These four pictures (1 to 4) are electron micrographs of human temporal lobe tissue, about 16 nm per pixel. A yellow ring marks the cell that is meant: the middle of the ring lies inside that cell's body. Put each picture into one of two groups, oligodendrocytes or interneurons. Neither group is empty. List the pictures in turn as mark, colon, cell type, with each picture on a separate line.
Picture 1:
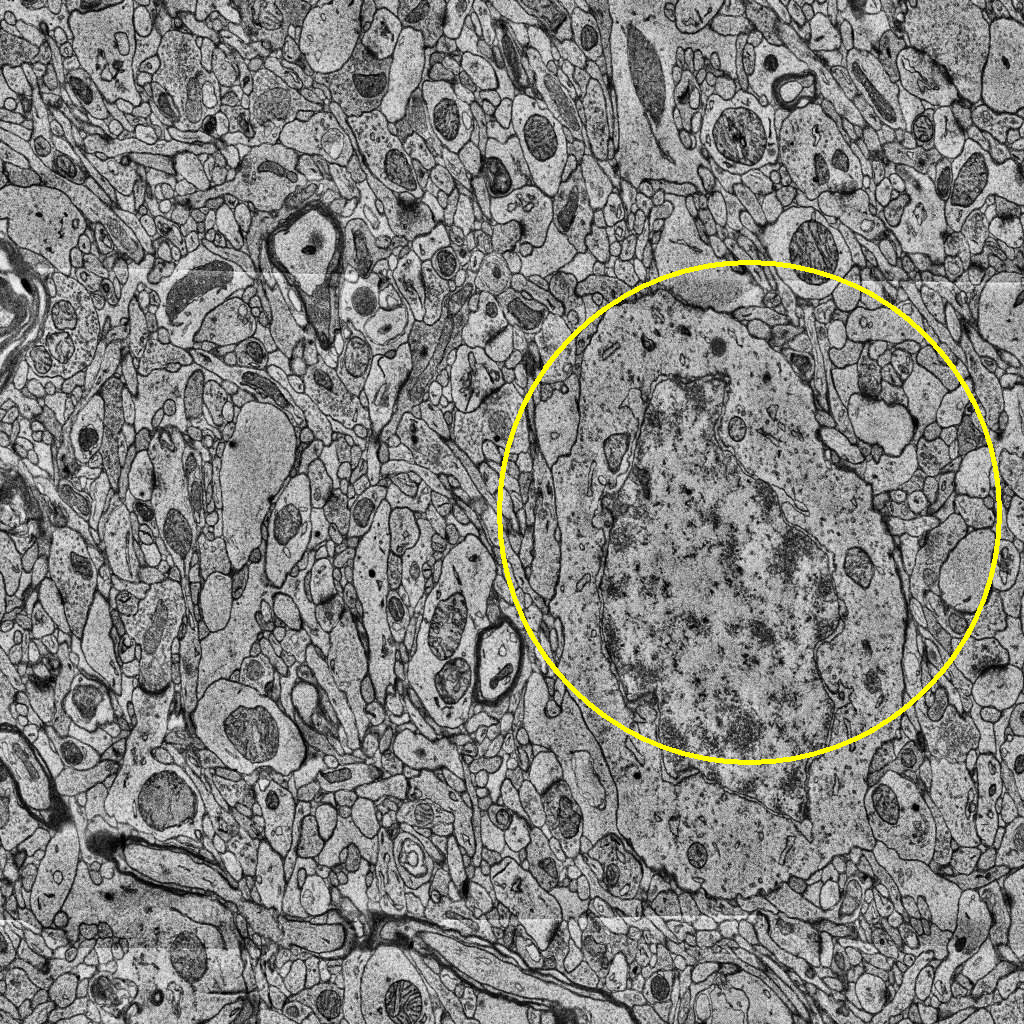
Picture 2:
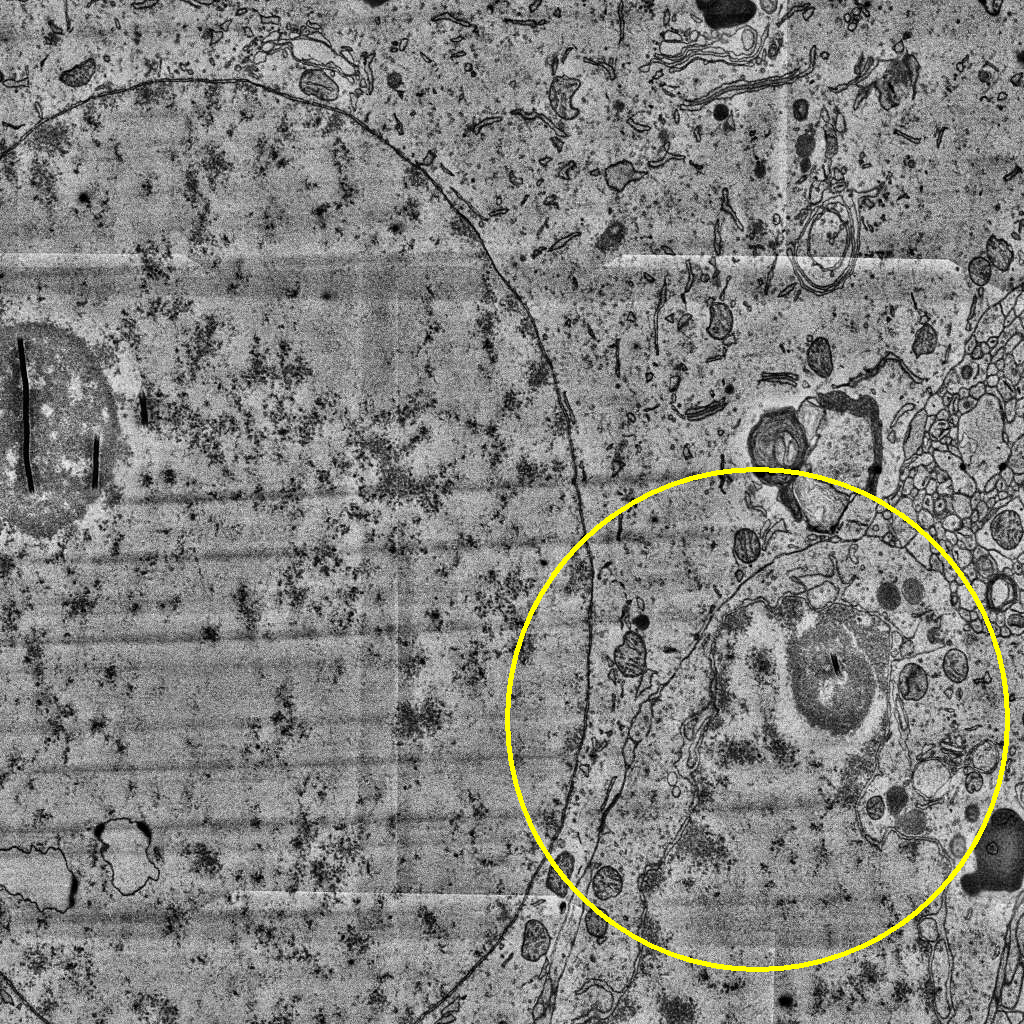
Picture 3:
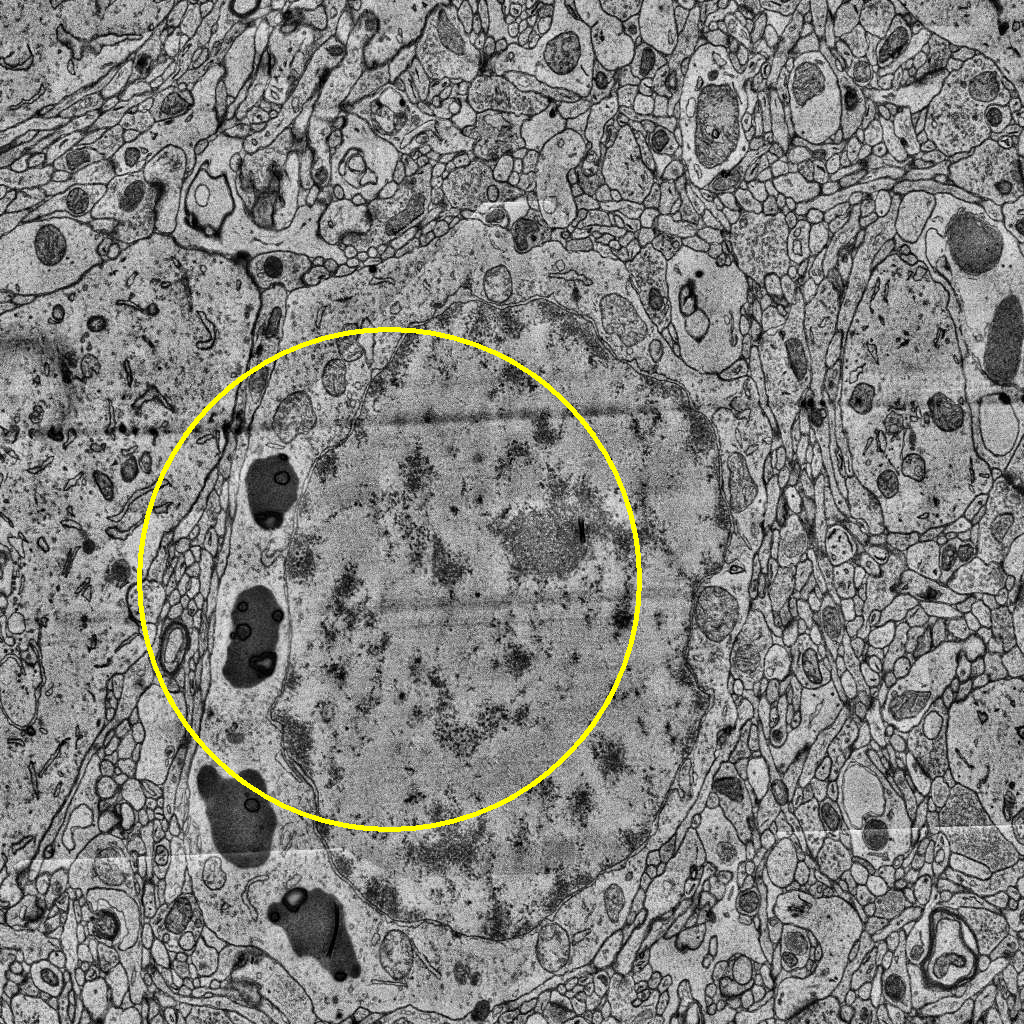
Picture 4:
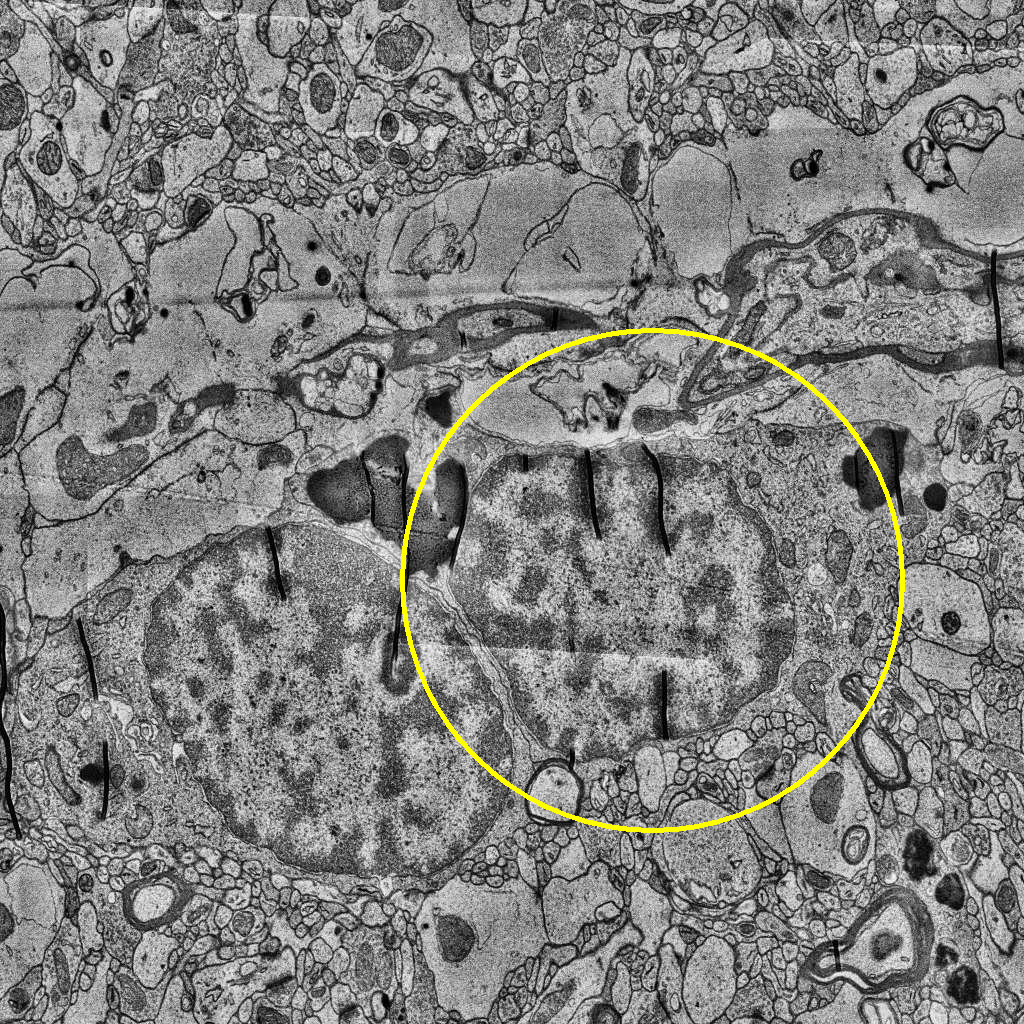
1: interneuron
2: interneuron
3: interneuron
4: oligodendrocyte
